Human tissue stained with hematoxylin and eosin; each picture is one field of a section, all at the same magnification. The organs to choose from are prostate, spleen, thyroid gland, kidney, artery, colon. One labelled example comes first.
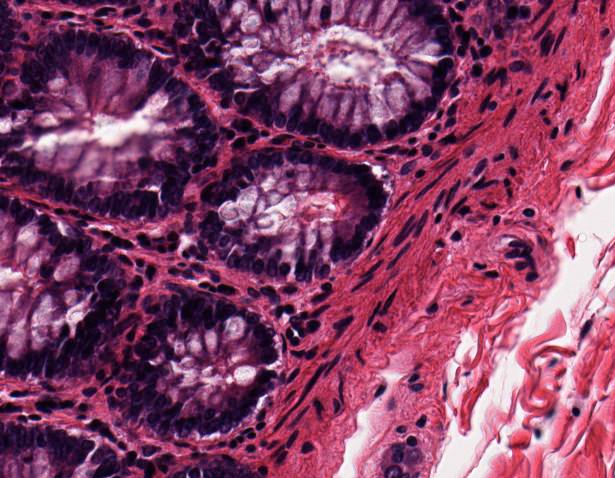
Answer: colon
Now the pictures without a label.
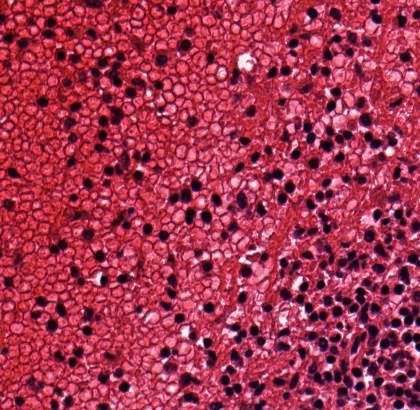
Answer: spleen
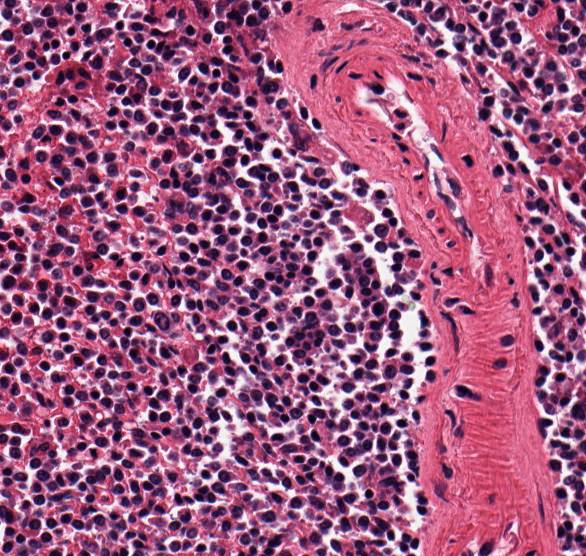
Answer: spleen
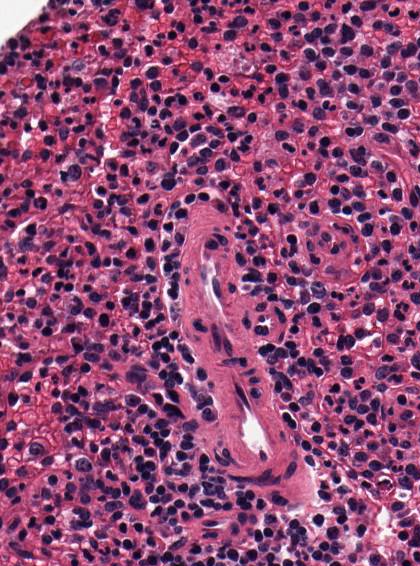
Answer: spleen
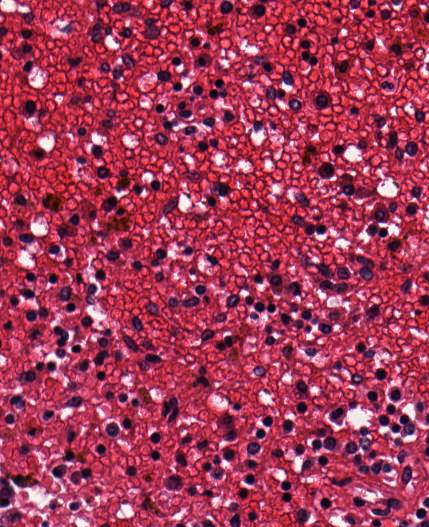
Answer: spleen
